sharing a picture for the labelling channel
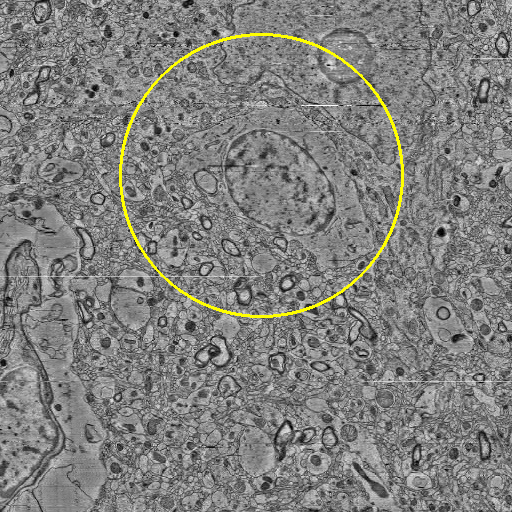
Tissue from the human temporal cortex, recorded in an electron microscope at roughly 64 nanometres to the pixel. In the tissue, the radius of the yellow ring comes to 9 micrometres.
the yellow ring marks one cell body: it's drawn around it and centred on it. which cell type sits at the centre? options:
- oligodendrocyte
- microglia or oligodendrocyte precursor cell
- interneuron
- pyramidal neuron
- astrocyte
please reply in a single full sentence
In the picture, the cell at the ring's centre is a microglial cell or oligodendrocyte precursor cell, going by the list.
